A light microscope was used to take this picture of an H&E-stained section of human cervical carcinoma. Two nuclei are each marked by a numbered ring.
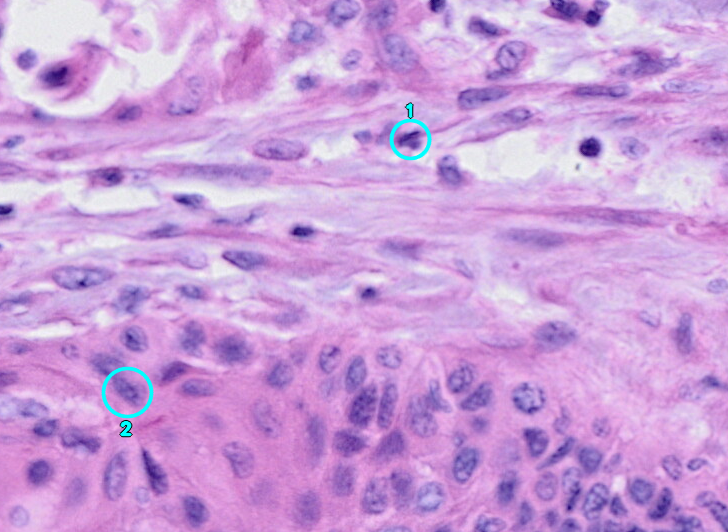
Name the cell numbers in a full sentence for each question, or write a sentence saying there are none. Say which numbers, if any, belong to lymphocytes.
Only the cell carrying number 1 is a lymphocyte.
